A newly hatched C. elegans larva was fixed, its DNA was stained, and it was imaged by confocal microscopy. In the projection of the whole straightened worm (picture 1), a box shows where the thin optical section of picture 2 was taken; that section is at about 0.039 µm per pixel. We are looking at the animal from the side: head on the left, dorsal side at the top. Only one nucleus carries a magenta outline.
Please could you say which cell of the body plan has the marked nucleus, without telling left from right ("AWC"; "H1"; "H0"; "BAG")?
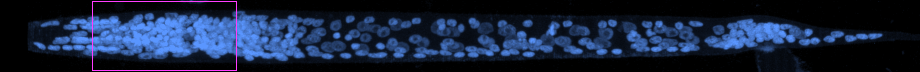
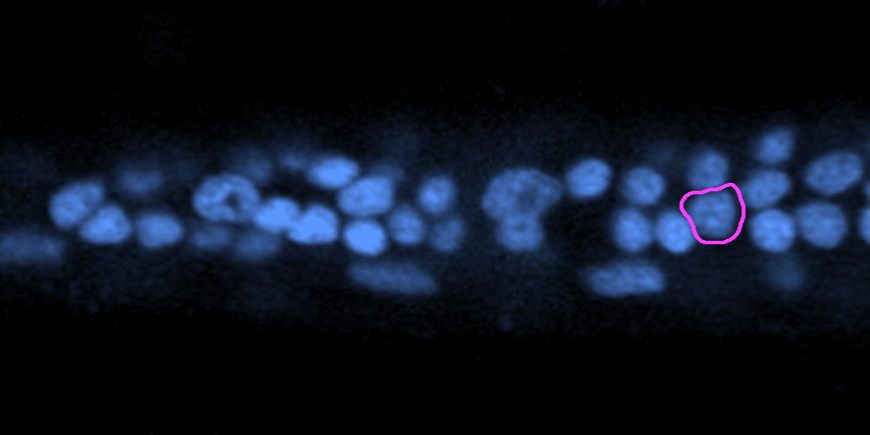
AWC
